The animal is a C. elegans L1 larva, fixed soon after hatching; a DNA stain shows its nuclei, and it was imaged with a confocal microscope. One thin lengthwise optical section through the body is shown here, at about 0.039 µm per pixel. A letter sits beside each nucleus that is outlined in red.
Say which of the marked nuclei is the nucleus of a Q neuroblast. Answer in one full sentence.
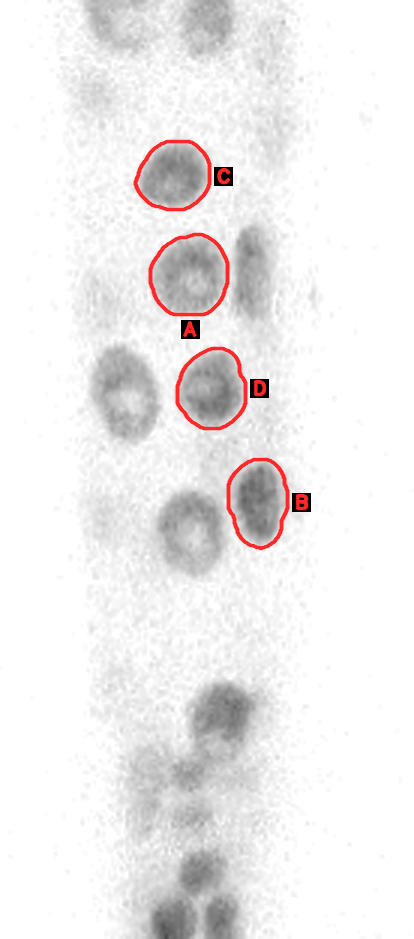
Nucleus C belongs to a Q neuroblast.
